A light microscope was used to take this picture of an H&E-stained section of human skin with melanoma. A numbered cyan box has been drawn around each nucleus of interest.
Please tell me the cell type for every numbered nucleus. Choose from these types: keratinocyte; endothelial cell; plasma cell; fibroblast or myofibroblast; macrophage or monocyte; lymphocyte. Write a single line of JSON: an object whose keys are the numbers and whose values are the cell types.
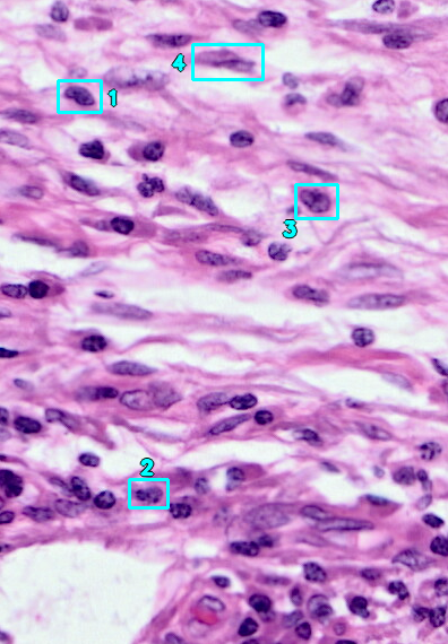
{"1": "lymphocyte", "2": "plasma cell", "3": "macrophage or monocyte", "4": "fibroblast or myofibroblast"}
